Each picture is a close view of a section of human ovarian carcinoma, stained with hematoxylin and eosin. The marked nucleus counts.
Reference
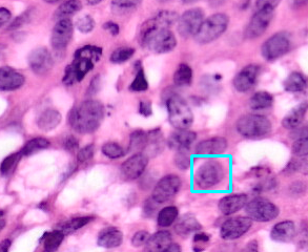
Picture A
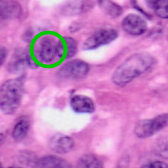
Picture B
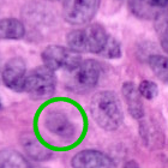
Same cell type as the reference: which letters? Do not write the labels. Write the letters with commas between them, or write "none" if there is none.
A, B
